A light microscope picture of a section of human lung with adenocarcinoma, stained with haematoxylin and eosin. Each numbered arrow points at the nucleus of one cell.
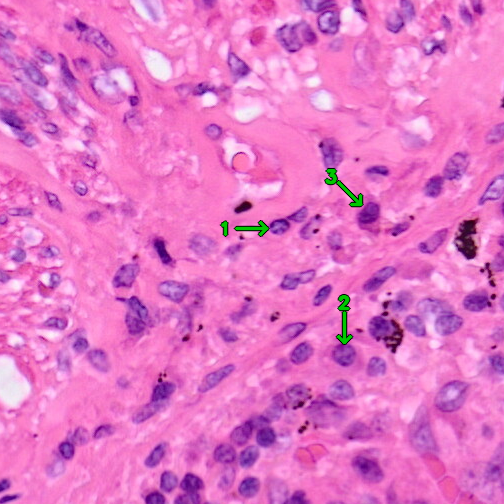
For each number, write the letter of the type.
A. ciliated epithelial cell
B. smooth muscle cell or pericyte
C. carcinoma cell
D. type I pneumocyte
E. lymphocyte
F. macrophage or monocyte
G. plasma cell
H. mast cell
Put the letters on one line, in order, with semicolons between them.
H; G; G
